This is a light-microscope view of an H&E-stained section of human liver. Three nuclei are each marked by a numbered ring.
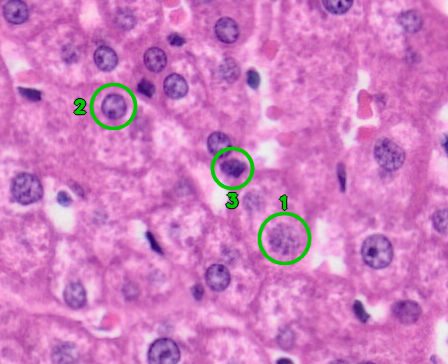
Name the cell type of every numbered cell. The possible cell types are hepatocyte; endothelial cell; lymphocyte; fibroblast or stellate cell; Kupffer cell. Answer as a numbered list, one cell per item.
1. hepatocyte
2. hepatocyte
3. fibroblast or stellate cell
